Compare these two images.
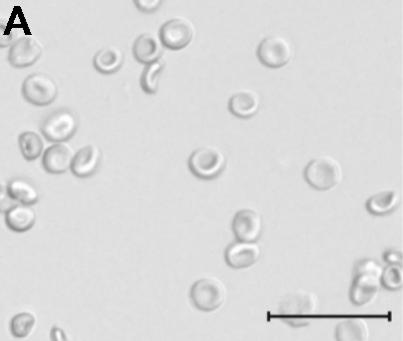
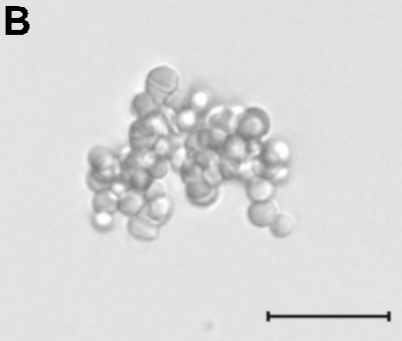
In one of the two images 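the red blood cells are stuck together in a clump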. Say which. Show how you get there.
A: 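The second image. Second image: the cells form one dense, overlapping clump. First image: the cells lie singly, scattered apart across the field.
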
